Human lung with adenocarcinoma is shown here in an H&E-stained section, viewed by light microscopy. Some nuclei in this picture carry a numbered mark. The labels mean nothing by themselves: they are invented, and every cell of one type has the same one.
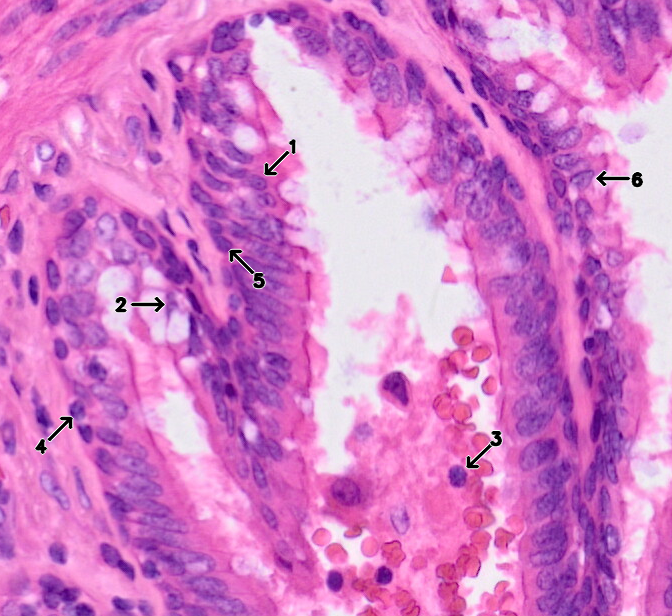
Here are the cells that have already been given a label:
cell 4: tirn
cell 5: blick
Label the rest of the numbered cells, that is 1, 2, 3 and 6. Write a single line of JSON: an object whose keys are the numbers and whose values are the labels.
{"1": "blick", "2": "blick", "3": "tirn", "6": "blick"}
